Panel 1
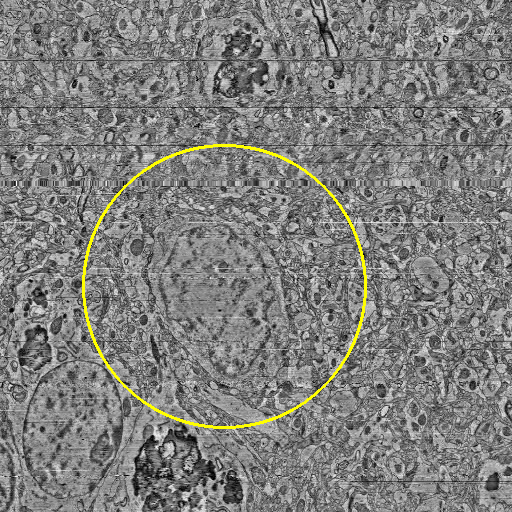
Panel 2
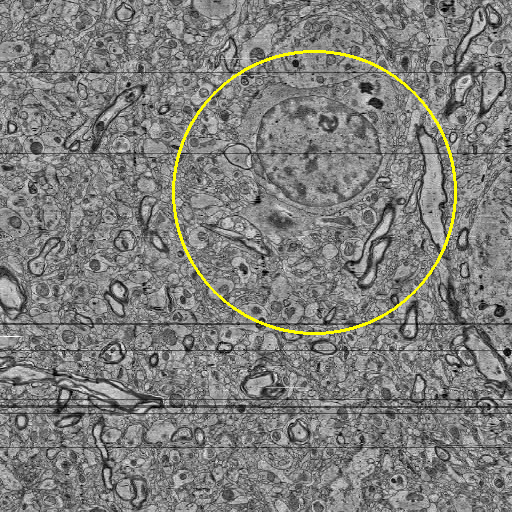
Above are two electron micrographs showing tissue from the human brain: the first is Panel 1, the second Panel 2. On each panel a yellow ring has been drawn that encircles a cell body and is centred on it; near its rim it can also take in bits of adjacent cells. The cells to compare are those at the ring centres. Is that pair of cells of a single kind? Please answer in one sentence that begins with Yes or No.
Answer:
No, the ring-centred cells of Panel 1 and Panel 2 belong to two kinds.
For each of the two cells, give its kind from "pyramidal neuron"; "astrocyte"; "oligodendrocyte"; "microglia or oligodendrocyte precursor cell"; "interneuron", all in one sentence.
The first picture has an interneuron in its ring, the second has an oligodendrocyte.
